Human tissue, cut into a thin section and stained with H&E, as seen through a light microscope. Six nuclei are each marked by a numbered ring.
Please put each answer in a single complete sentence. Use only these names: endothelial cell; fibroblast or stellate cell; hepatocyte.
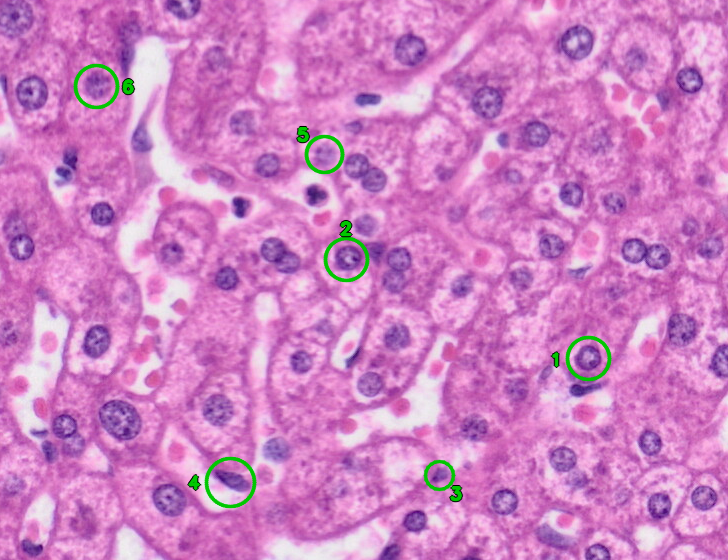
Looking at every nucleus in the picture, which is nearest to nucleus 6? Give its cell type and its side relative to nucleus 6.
The nearest one is an endothelial cell, found above and to the right of nucleus 6.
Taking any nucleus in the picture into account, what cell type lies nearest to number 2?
Number 2 lies closest to the nucleus of a fibroblast or stellate cell.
